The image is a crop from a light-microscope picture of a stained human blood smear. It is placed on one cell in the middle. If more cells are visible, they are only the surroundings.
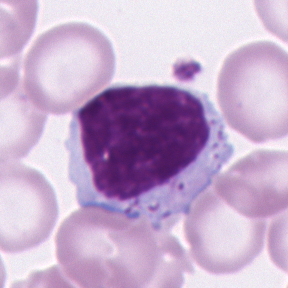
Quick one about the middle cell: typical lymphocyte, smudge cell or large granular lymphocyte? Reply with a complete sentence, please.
In the middle of this smear crop, the cell is a large granular lymphocyte.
